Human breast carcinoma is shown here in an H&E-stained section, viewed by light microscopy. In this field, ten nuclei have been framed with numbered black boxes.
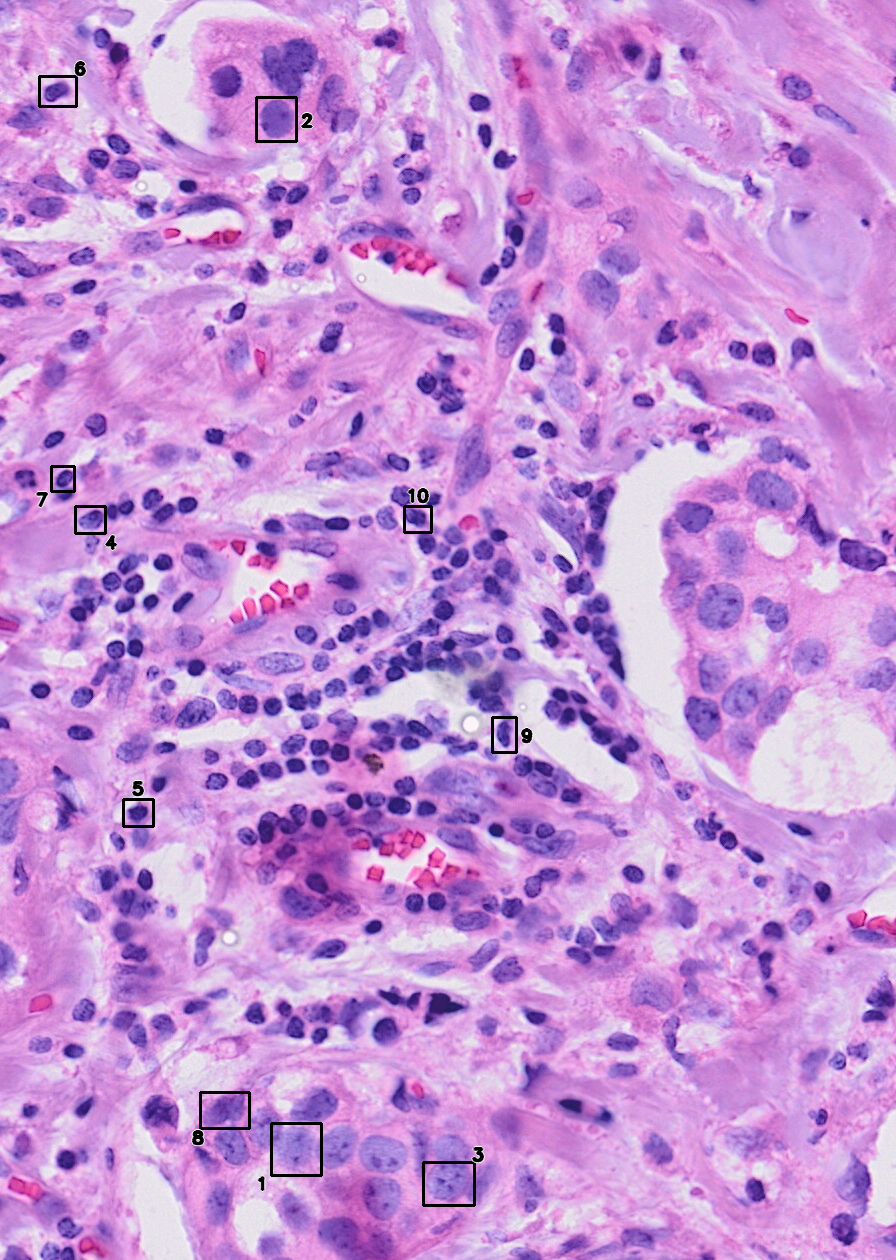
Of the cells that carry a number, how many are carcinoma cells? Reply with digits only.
4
